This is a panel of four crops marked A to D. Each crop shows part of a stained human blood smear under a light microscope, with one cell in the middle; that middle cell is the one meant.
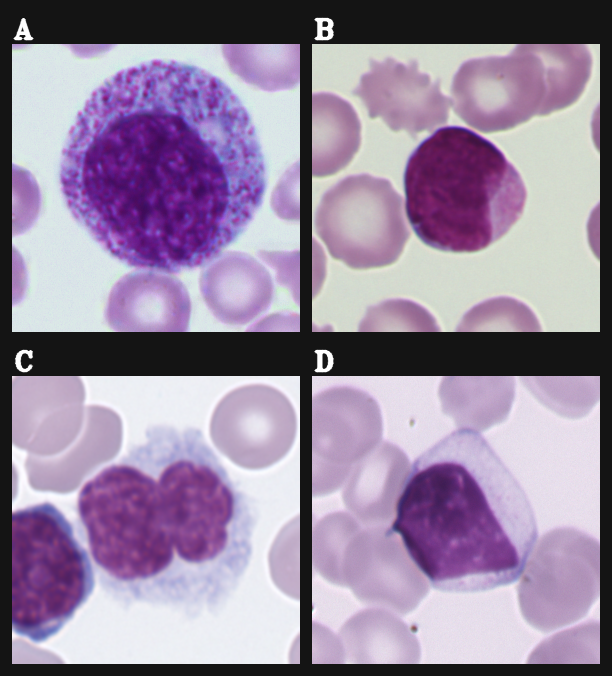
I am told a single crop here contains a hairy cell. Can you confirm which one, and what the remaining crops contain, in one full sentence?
The cell occupying crop C is a hairy cell, whereas crop A is a promyelocyte, crop B is a myeloblast and crop D is a large granular lymphocyte.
